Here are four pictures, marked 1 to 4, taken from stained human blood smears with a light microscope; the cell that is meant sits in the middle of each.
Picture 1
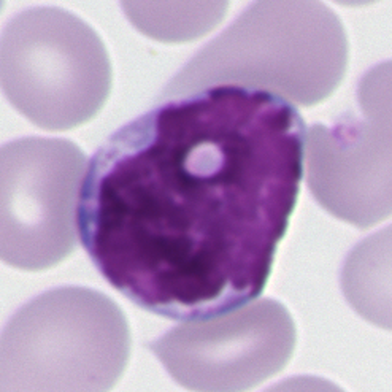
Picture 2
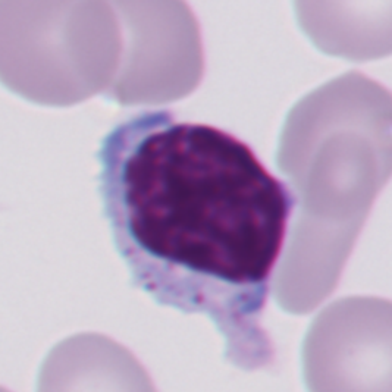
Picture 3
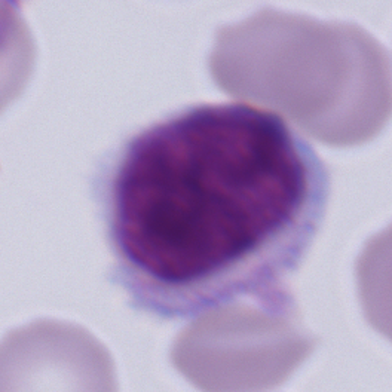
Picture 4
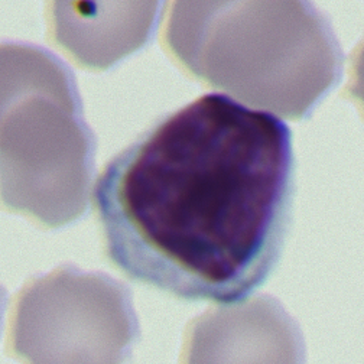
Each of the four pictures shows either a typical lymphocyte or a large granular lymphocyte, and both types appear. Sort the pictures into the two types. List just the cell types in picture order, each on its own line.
large granular lymphocyte
large granular lymphocyte
typical lymphocyte
typical lymphocyte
